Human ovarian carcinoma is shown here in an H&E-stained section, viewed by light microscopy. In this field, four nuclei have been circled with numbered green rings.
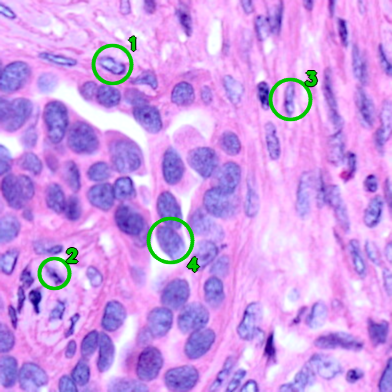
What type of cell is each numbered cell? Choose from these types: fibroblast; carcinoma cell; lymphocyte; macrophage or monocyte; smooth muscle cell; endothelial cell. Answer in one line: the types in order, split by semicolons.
fibroblast; fibroblast; fibroblast; carcinoma cell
